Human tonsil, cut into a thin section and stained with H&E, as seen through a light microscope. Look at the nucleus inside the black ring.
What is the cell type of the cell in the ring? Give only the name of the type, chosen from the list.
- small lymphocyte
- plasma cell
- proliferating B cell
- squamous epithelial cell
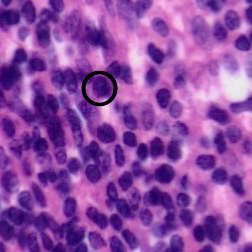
proliferating B cell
